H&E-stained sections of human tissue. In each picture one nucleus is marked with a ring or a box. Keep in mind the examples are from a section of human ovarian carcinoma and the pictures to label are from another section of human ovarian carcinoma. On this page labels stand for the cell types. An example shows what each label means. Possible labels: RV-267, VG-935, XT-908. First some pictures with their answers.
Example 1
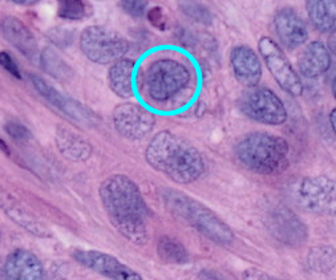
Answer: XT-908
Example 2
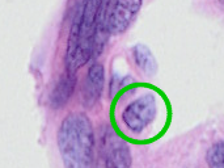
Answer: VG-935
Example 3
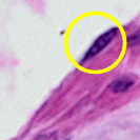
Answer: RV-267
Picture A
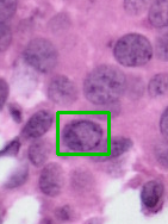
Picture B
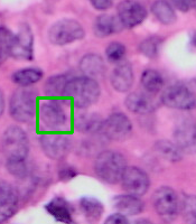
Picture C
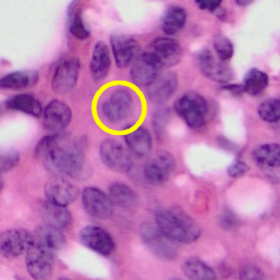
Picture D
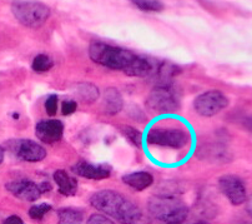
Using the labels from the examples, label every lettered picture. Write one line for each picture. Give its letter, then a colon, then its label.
A: XT-908
B: XT-908
C: XT-908
D: XT-908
